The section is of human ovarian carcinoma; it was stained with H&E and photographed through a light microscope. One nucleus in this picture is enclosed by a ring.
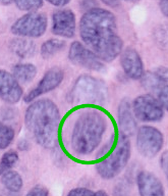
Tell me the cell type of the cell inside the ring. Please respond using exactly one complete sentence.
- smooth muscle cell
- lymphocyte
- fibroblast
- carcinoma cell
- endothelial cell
Cell type answer for this item: the cell inside the ring is a carcinoma cell.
